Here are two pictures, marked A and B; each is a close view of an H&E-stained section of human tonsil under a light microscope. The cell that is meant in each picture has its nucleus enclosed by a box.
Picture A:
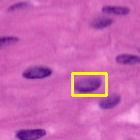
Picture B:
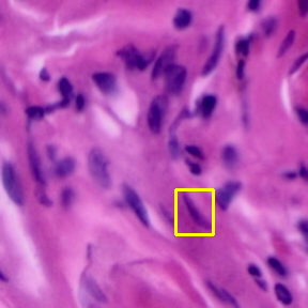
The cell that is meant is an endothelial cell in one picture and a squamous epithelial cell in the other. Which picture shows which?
A: squamous epithelial cell
B: endothelial cell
